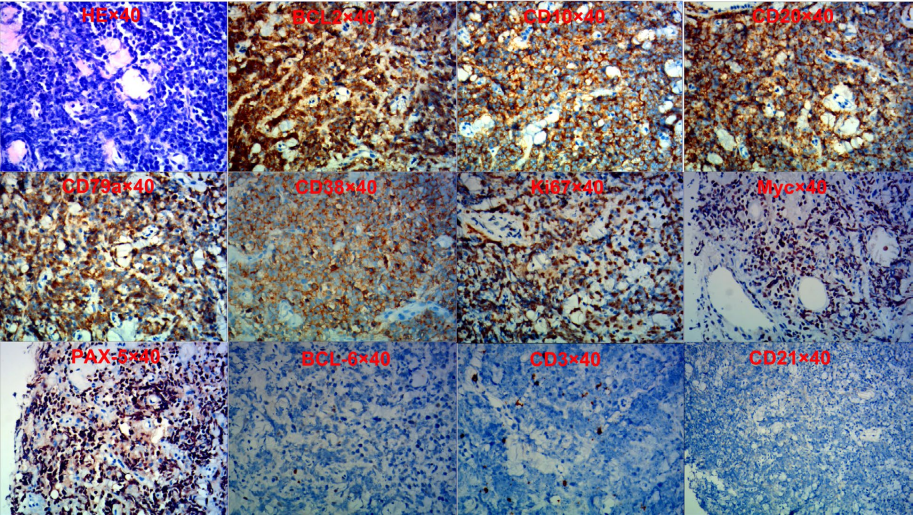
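These are sections of a mass packed with sheets of lymphoid cells lying close together. In the hematoxylin and eosin tile the cells have round, dark blue-purple nuclei and scant cytoplasm, with a few pale pink areas free of cells among them. In several of the other tiles, many of the cells take up a brown stain over their membranes and cytoplasm or in their nuclei. In the last tiles, the cells stay blue with only scattered brown cells or none.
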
